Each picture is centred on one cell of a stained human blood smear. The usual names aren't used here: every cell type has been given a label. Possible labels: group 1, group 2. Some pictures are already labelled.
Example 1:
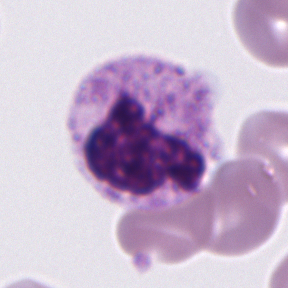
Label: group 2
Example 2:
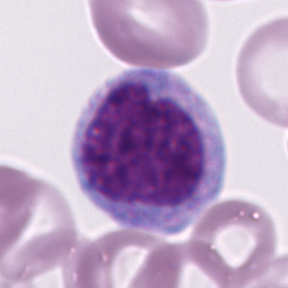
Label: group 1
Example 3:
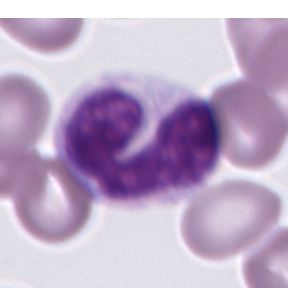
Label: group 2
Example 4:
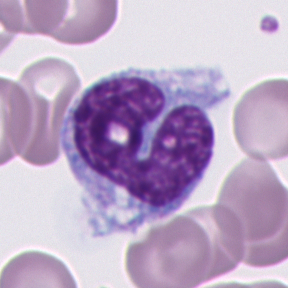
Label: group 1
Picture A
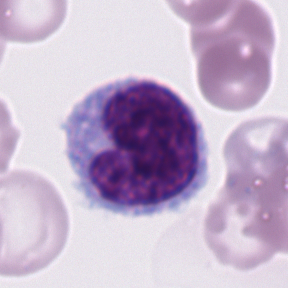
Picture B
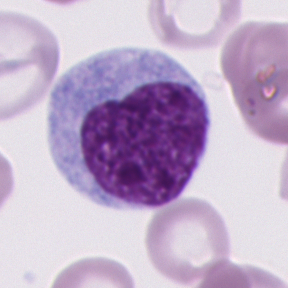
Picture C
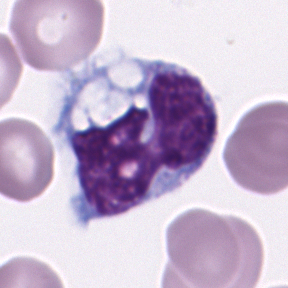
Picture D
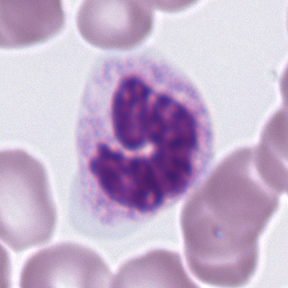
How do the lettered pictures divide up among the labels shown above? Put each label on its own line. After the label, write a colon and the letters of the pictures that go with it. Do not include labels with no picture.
group 1: A, B, C
group 2: D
